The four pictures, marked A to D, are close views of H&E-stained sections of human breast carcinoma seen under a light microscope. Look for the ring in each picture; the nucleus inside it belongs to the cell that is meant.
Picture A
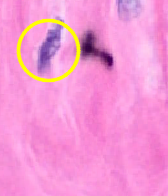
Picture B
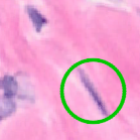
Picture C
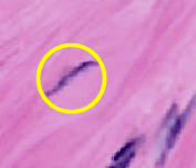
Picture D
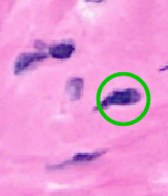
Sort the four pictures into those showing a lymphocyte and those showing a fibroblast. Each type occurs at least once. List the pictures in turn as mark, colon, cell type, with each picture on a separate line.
A: fibroblast
B: fibroblast
C: fibroblast
D: lymphocyte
